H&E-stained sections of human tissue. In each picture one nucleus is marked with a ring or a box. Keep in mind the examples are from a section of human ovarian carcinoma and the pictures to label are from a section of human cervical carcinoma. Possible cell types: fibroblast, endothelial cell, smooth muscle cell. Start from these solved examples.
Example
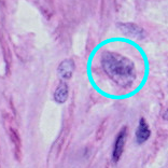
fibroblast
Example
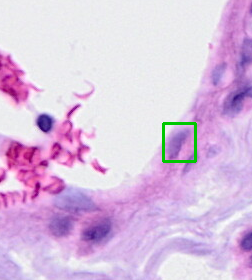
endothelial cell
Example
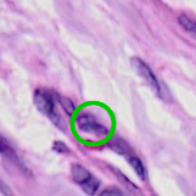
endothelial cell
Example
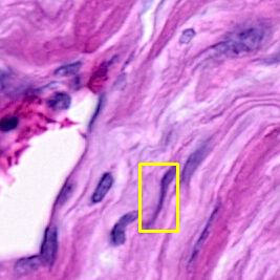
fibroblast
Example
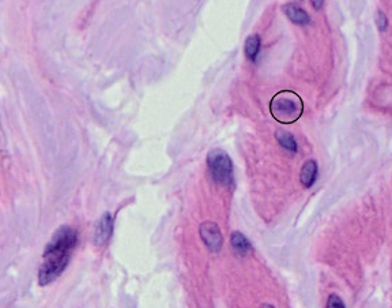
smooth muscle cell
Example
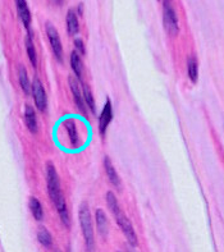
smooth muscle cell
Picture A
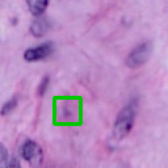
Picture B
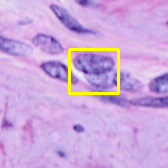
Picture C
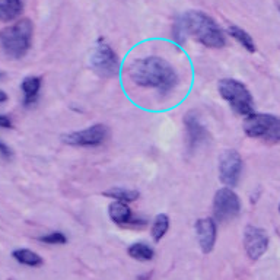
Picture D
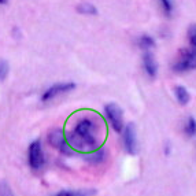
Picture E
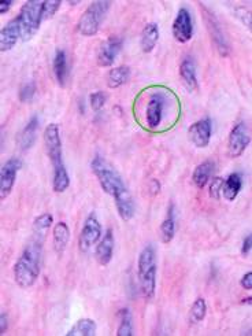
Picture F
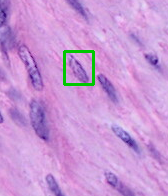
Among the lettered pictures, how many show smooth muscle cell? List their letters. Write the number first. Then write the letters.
Count: 3 (A, E, F)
